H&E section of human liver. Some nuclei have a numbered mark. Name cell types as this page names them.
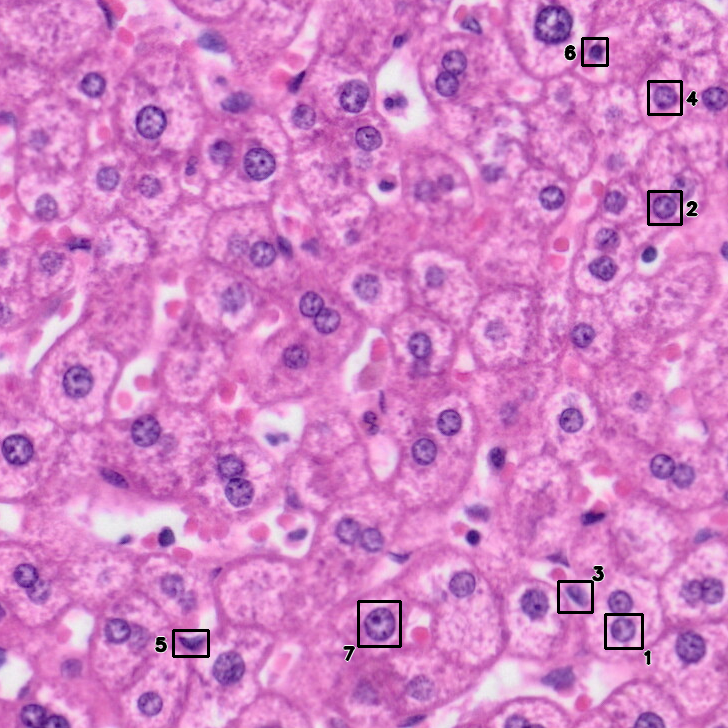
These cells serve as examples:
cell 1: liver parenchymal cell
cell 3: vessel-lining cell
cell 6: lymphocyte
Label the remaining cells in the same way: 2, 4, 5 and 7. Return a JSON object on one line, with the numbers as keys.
{"2": "liver parenchymal cell", "4": "liver parenchymal cell", "5": "vessel-lining cell", "7": "liver parenchymal cell"}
